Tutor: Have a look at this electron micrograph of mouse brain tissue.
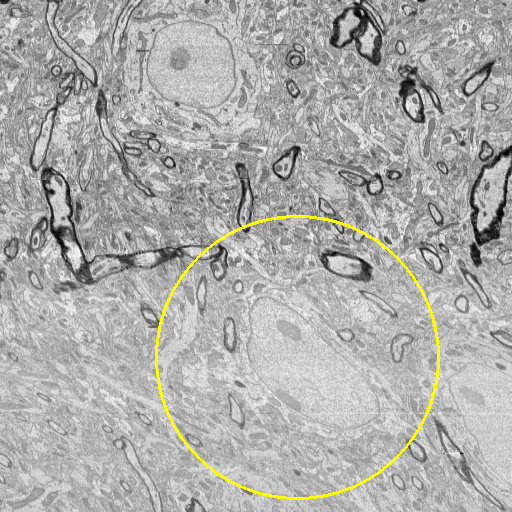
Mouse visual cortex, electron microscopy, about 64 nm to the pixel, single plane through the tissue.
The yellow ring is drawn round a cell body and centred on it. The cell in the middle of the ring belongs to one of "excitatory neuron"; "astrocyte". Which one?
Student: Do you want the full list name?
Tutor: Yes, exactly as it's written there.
astrocyte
